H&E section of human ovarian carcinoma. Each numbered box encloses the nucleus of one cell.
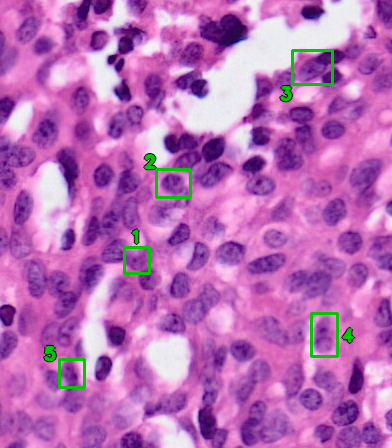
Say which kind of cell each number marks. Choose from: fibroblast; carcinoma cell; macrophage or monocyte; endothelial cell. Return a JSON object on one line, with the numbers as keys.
{"1": "carcinoma cell", "2": "macrophage or monocyte", "3": "carcinoma cell", "4": "macrophage or monocyte", "5": "carcinoma cell"}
